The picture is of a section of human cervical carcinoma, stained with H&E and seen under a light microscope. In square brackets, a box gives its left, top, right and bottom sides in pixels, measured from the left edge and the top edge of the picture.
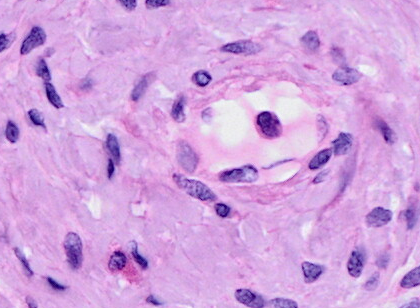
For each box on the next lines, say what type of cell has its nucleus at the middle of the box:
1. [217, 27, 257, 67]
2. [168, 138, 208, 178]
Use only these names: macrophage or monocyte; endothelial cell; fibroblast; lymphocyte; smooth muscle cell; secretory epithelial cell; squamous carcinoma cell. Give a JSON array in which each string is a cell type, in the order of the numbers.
["smooth muscle cell", "endothelial cell"]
